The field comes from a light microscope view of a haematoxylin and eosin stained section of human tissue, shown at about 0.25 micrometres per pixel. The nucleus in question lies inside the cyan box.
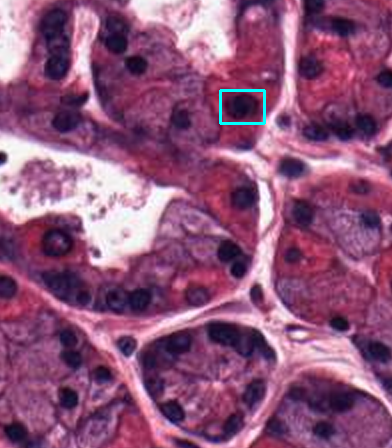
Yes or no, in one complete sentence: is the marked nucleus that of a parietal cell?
Yes, the marked nucleus belongs, in this section, to a parietal cell.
